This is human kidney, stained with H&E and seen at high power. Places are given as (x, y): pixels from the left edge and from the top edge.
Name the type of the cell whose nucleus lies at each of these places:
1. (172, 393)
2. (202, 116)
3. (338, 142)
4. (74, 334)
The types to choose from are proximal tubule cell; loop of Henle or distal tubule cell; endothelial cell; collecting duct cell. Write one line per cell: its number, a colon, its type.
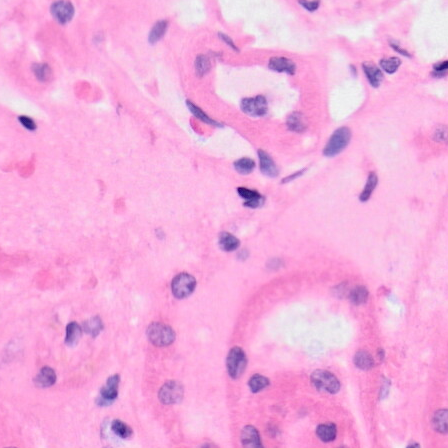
1: proximal tubule cell
2: endothelial cell
3: endothelial cell
4: proximal tubule cell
